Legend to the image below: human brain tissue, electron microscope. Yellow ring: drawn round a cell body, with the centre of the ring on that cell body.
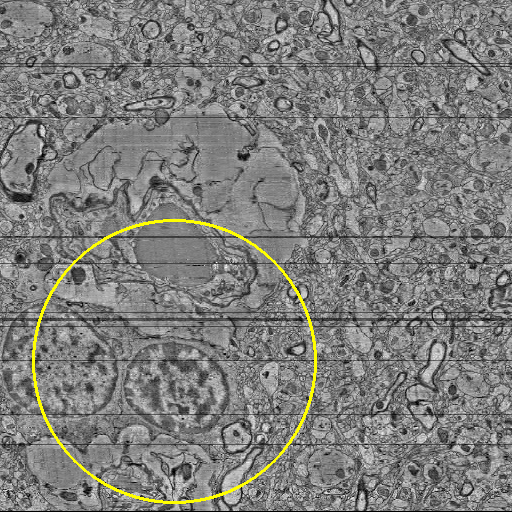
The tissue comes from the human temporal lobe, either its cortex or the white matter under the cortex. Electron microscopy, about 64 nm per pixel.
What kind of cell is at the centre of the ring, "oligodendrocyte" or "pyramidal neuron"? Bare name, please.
oligodendrocyte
